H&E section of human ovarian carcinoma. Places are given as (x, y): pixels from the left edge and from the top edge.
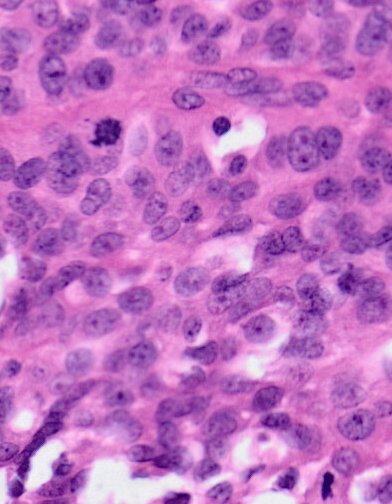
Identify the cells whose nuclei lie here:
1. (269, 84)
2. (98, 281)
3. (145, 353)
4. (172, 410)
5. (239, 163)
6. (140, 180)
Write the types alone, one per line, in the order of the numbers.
endothelial cell
carcinoma cell
carcinoma cell
carcinoma cell
macrophage or monocyte
carcinoma cell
